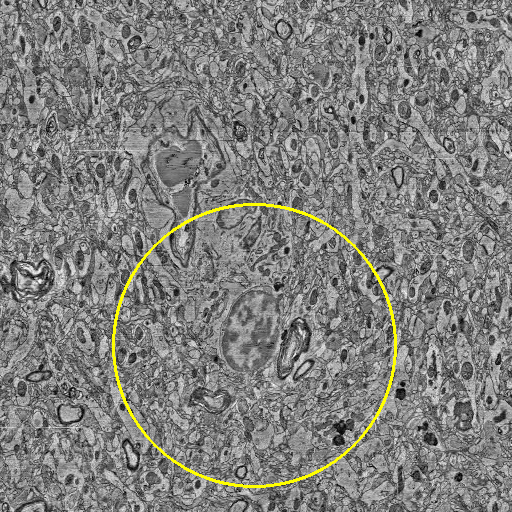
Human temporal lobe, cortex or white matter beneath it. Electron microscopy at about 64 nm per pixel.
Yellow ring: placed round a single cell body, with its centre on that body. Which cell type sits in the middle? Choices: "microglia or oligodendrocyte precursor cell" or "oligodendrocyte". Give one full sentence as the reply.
It is an oligodendrocyte whose cell body sits at the centre of the yellow ring.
